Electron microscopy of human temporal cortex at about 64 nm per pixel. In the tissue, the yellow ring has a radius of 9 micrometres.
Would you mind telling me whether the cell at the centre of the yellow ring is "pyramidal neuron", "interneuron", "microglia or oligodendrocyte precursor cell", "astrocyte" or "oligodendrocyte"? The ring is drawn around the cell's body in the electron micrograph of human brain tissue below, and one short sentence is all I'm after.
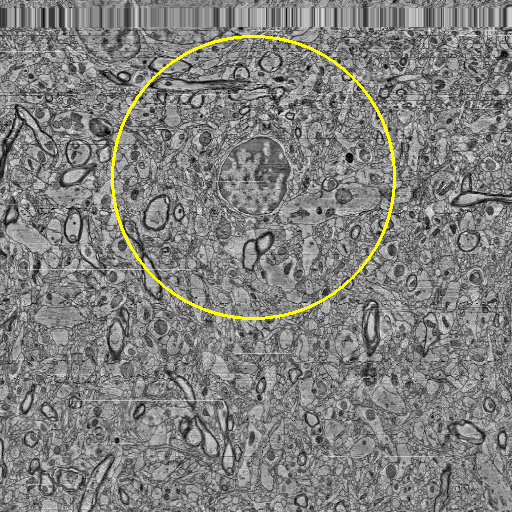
In the centre of the ring lies a microglial cell or oligodendrocyte precursor cell.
